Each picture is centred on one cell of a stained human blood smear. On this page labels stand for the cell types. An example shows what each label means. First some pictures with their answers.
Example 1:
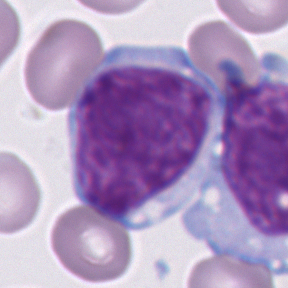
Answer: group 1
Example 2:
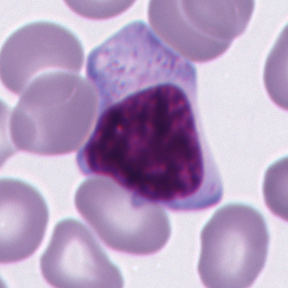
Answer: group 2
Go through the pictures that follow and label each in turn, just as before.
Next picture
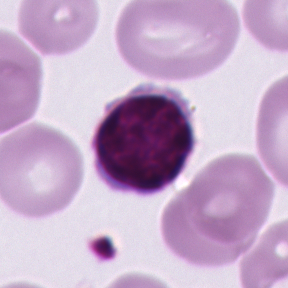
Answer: group 2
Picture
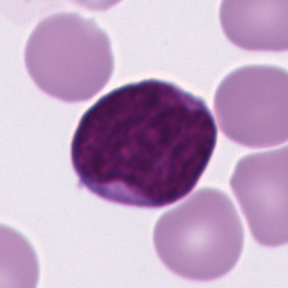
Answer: group 1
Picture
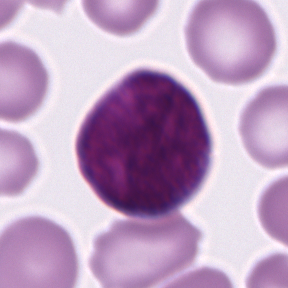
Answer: group 1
